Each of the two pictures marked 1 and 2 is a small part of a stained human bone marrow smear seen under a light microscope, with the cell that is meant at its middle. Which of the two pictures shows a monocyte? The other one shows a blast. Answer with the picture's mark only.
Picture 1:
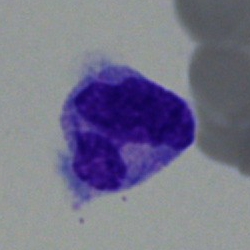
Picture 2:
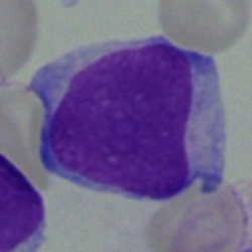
1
